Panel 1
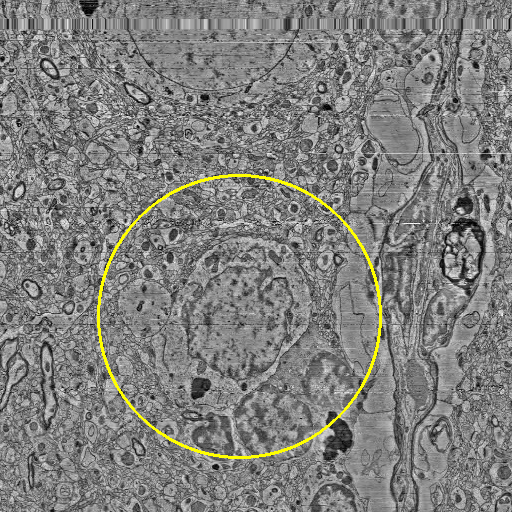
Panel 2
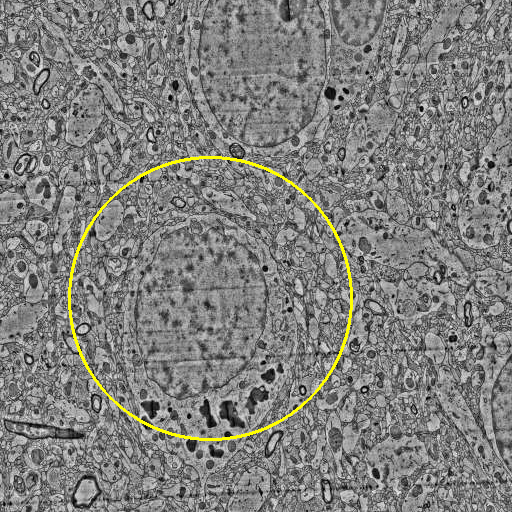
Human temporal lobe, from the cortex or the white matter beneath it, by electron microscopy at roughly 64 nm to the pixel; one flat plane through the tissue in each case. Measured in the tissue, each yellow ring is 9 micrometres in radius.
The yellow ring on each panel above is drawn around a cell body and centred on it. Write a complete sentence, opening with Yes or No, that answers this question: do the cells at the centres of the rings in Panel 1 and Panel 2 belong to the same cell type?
Yes, both cells belong to the same cell type.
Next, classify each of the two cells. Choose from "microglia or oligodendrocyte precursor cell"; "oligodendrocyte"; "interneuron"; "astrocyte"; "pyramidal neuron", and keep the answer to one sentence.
The first and the second cell are each an interneuron.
